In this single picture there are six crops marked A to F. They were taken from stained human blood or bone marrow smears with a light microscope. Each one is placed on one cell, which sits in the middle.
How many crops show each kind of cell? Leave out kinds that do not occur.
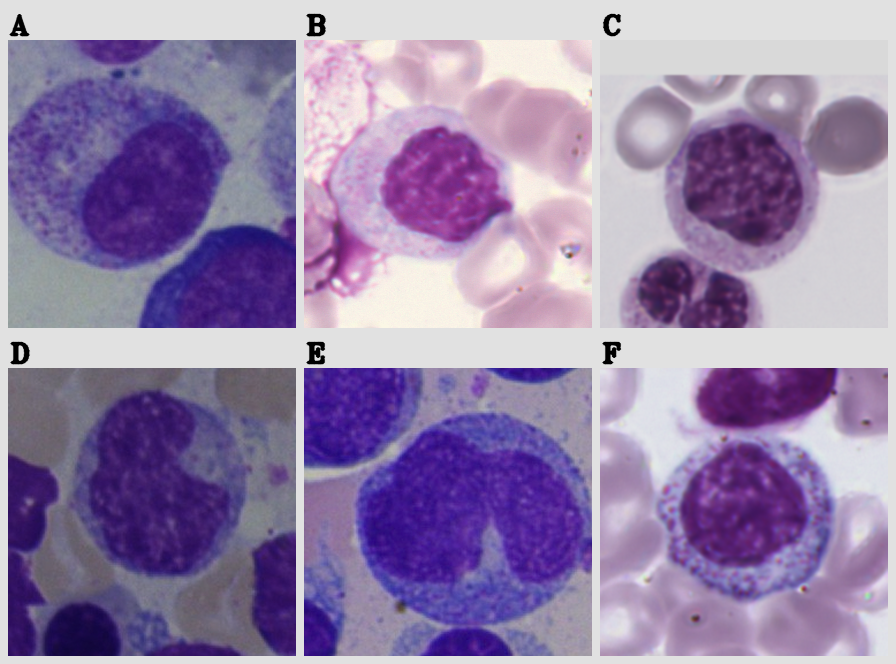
myelocyte: 4
monocyte: 2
